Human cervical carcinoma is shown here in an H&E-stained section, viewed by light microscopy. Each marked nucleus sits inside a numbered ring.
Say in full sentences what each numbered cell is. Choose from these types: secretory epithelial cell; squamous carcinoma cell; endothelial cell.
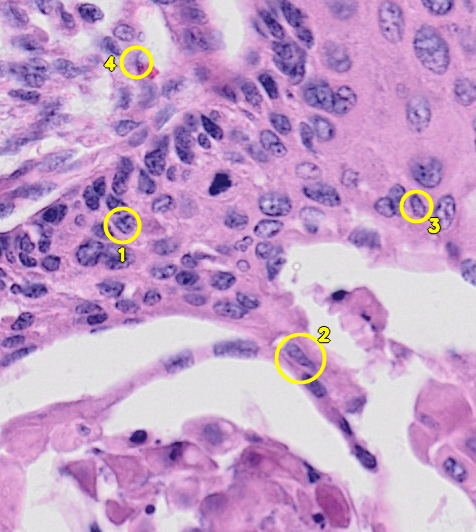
Cell 1 is a squamous carcinoma cell, cell 2 is a squamous carcinoma cell, cell 3 is a squamous carcinoma cell and cell 4 is an endothelial cell.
